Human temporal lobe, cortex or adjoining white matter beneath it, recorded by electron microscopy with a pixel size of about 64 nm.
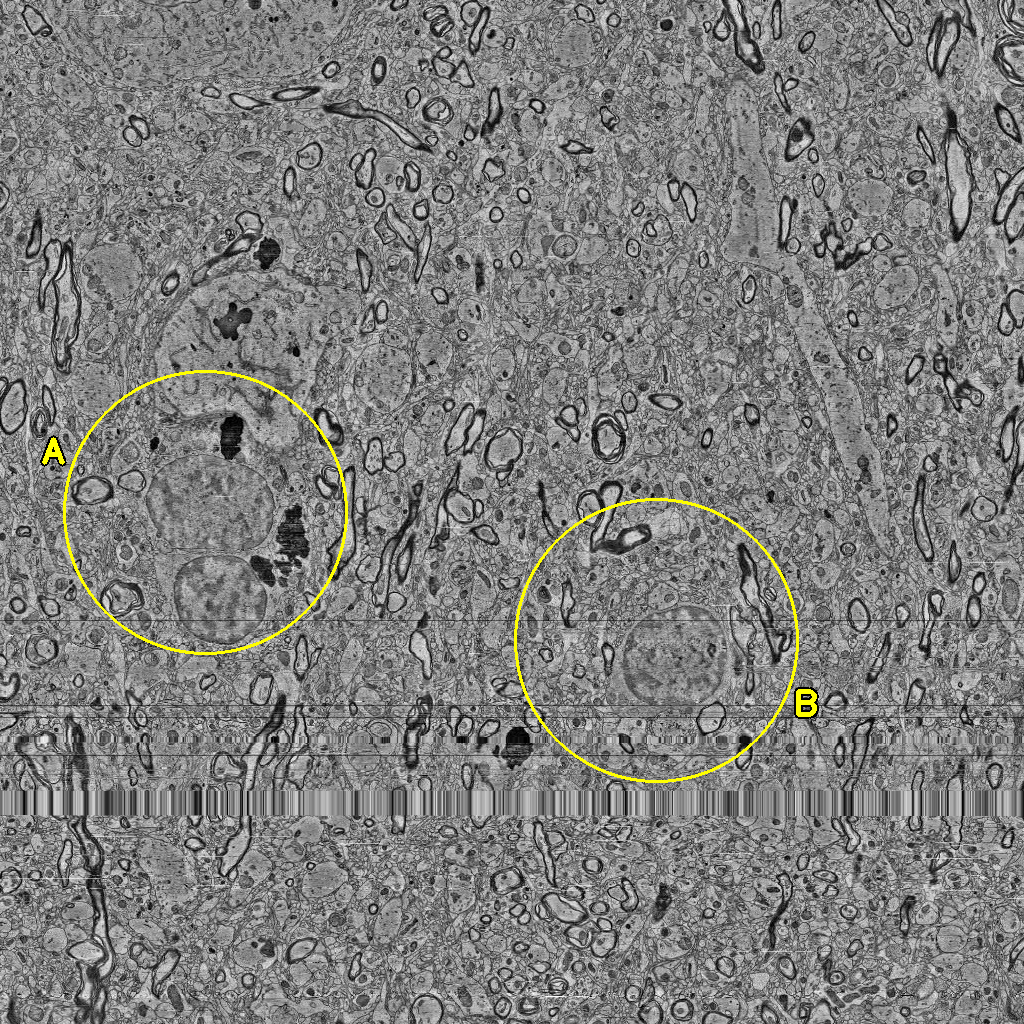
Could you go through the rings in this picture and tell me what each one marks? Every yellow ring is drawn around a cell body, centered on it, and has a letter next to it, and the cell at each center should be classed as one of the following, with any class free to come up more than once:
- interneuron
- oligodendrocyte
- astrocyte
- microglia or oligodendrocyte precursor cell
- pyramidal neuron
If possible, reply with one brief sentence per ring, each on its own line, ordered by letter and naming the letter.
The cell centered in ring A is an oligodendrocyte.
The cell centered in ring B is an oligodendrocyte.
